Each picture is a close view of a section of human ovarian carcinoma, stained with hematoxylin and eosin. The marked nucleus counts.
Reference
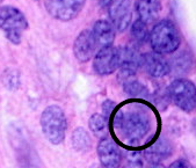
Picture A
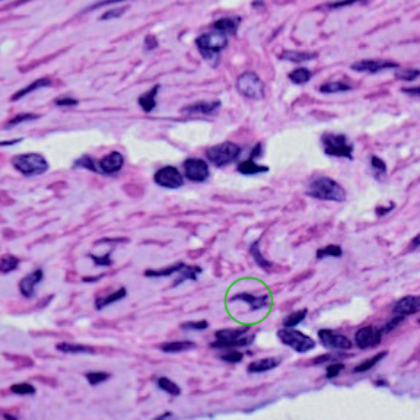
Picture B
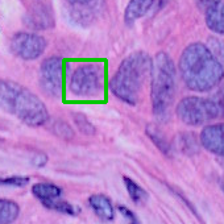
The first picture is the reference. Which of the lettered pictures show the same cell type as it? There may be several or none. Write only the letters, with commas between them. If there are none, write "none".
B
